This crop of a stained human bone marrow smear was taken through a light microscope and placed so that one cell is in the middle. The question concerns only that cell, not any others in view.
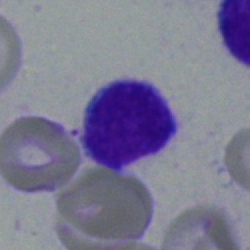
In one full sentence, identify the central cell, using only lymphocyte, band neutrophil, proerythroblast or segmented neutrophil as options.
The central element of this crop is a cell, namely a lymphocyte.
